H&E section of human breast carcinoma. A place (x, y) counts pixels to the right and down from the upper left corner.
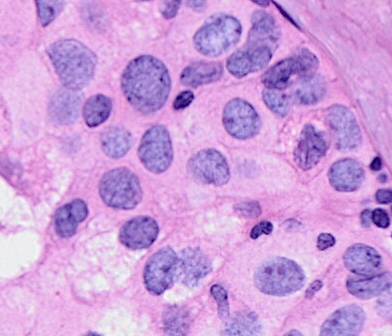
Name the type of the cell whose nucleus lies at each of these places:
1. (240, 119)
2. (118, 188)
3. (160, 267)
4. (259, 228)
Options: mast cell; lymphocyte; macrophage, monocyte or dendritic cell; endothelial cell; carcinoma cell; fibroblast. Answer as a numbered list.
1. carcinoma cell
2. carcinoma cell
3. carcinoma cell
4. lymphocyte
